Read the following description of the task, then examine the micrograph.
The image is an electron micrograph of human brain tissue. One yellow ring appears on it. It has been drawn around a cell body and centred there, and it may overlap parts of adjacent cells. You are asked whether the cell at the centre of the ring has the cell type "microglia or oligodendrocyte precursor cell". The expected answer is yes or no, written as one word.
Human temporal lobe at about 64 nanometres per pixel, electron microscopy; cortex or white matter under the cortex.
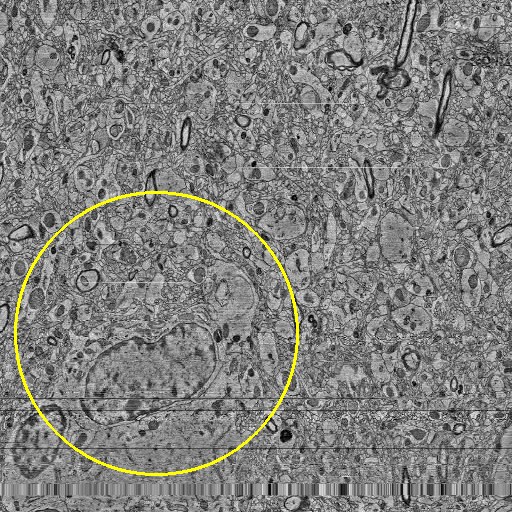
yes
